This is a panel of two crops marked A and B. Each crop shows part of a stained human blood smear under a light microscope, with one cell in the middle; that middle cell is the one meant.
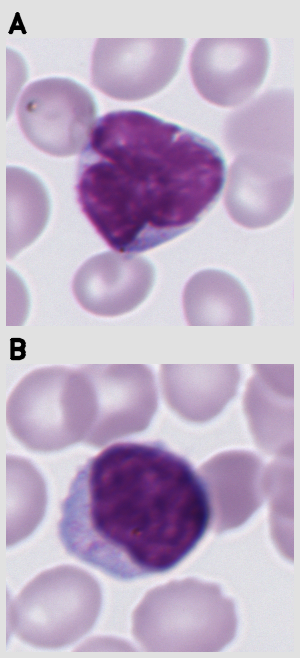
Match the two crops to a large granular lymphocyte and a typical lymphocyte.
A: large granular lymphocyte
B: typical lymphocyte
